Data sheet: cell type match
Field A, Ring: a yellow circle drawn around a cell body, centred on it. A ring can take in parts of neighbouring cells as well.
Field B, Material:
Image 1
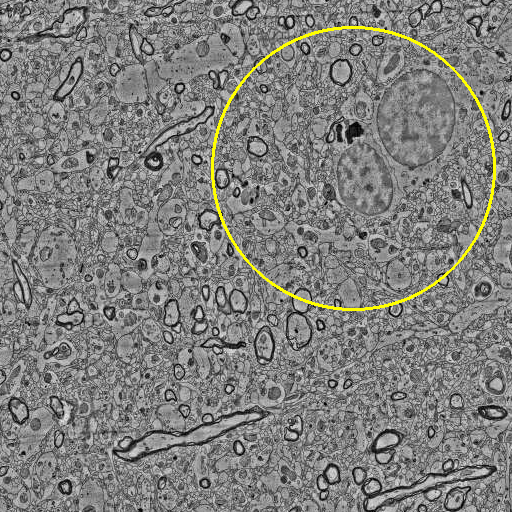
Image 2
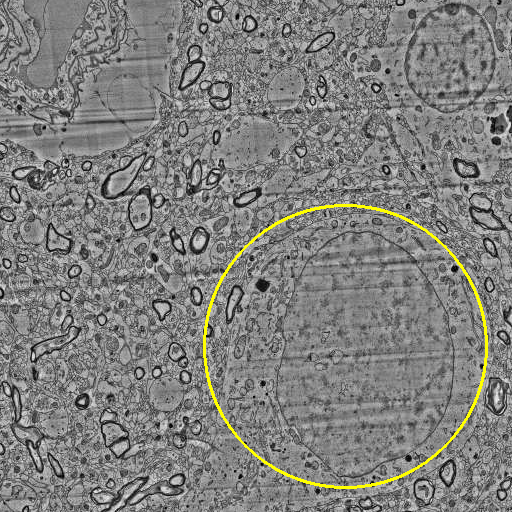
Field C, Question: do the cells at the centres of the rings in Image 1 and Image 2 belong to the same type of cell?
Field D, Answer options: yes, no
no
